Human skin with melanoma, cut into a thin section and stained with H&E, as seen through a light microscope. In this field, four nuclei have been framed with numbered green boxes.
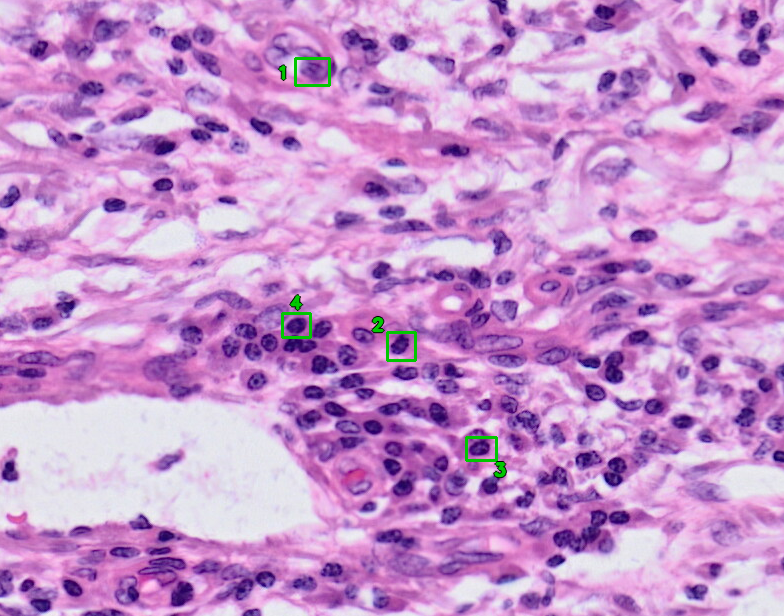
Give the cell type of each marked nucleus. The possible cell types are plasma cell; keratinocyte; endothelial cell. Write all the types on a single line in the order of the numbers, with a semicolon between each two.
endothelial cell; plasma cell; plasma cell; plasma cell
